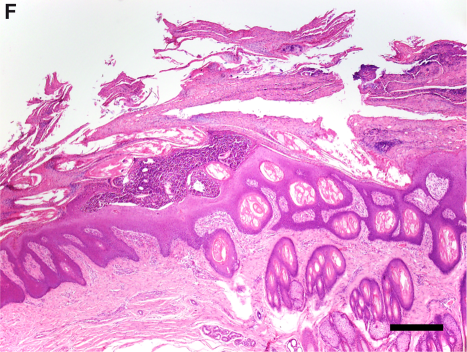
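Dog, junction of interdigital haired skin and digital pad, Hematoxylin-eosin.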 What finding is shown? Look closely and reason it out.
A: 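Marked thickening of the epidermis. The pink epidermal layer is broad, with long downward projections into the dermis. Thick layered pink material lies loosely on the surface.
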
